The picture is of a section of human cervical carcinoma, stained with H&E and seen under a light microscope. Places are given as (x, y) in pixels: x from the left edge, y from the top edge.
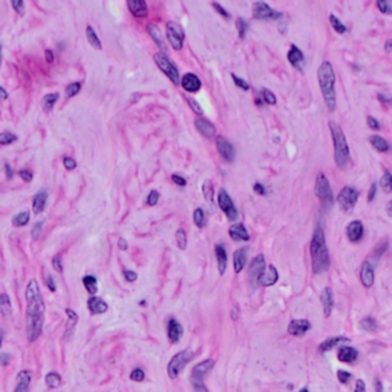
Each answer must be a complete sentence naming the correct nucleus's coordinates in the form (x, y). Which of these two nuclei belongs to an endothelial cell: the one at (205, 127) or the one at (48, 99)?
The nucleus that belongs to an endothelial cell is located at (205, 127).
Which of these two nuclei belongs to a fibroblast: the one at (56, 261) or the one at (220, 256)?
Located at (220, 256), this nucleus is the one belonging to a fibroblast.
